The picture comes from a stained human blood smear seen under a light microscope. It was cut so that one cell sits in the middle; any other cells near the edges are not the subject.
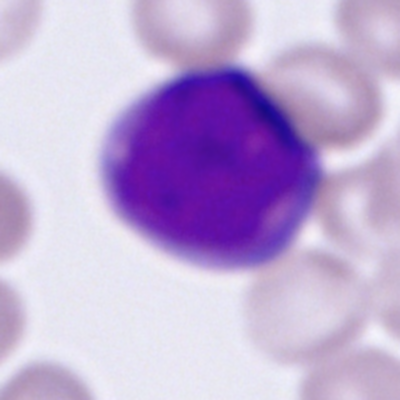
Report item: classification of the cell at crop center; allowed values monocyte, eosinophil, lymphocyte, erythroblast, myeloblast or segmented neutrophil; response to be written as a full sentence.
The cell centred in this crop is categorized as a myeloblast.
